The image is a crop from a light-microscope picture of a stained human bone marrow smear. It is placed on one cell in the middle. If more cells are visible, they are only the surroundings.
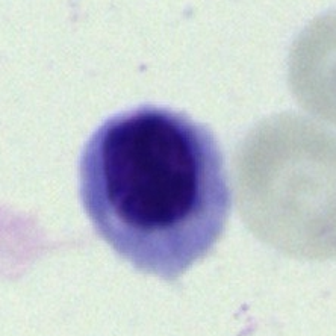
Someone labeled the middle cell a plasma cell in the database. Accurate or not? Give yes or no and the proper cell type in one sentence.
No, the label for the central cell is an erythroblast, not a plasma cell.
